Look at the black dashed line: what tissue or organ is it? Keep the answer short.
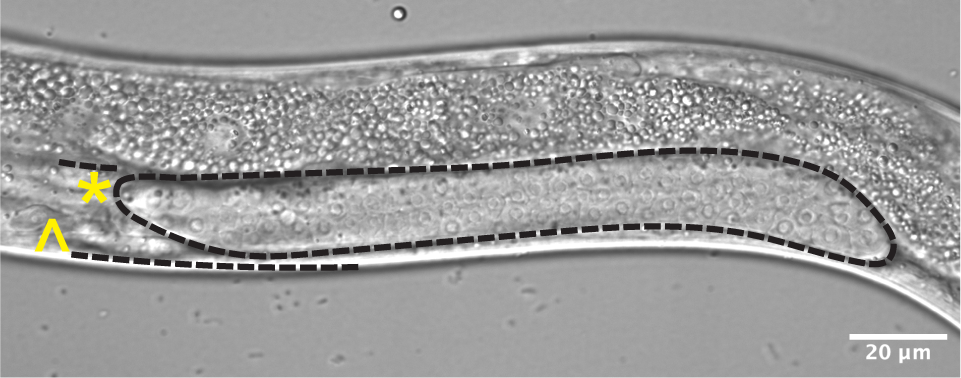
Gonads.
